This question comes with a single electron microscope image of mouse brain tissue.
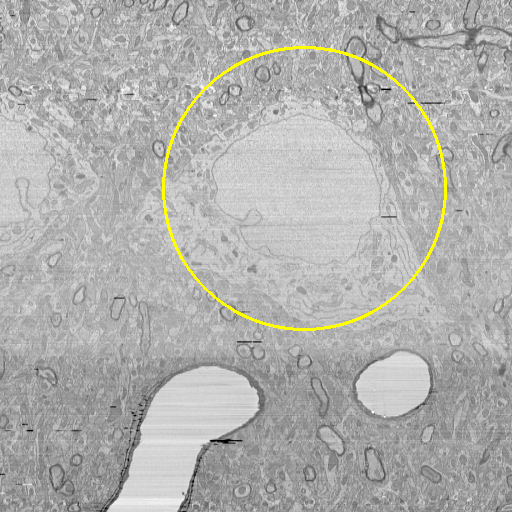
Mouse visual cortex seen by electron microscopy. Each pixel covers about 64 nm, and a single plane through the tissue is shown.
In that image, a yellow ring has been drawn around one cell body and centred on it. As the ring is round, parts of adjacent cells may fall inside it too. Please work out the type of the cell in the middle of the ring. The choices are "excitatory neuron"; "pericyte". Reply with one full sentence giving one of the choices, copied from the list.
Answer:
Of the choices, an excitatory neuron is the cell sitting in the middle of the ring.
